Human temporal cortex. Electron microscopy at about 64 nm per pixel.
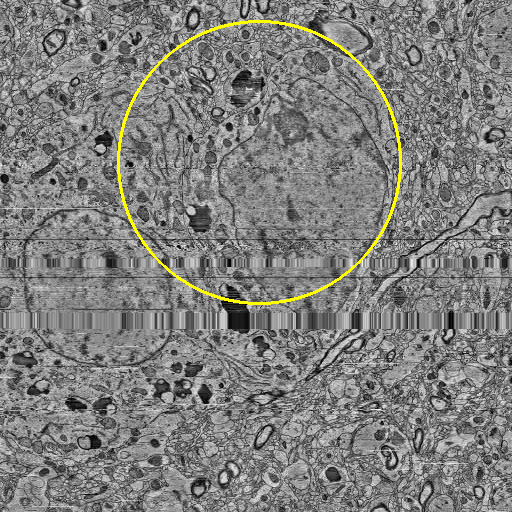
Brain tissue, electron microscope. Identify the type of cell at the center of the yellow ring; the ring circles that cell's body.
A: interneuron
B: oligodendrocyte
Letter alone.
A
